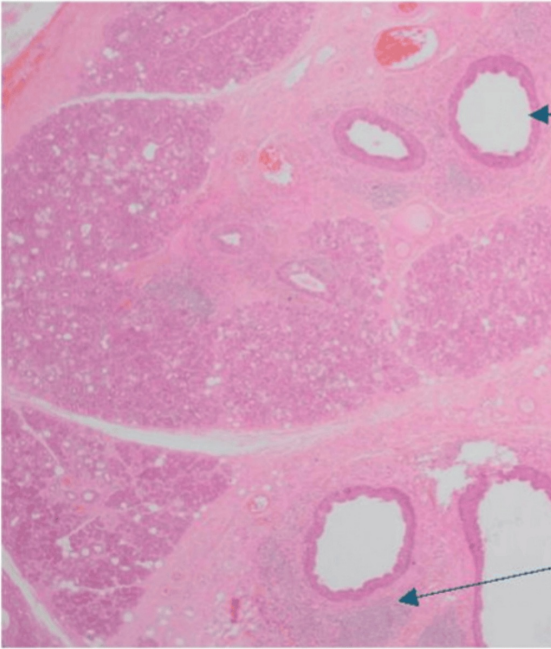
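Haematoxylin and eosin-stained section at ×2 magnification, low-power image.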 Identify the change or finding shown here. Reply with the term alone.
multiple dilated ducts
